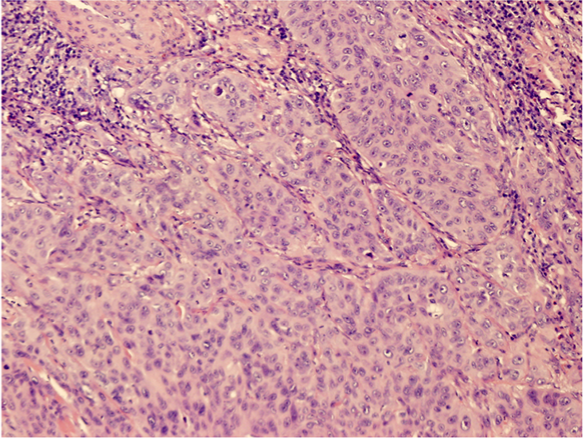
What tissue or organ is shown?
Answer: squamous carcinoma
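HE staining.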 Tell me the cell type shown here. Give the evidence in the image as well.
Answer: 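Large polygonal cells with abundant pink cytoplasm form sheets and nests. Nuclei are enlarged, vesicular, with visible nucleoli. Thin stromal septa divide the sheets into nests. So: squamoid tumor cells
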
